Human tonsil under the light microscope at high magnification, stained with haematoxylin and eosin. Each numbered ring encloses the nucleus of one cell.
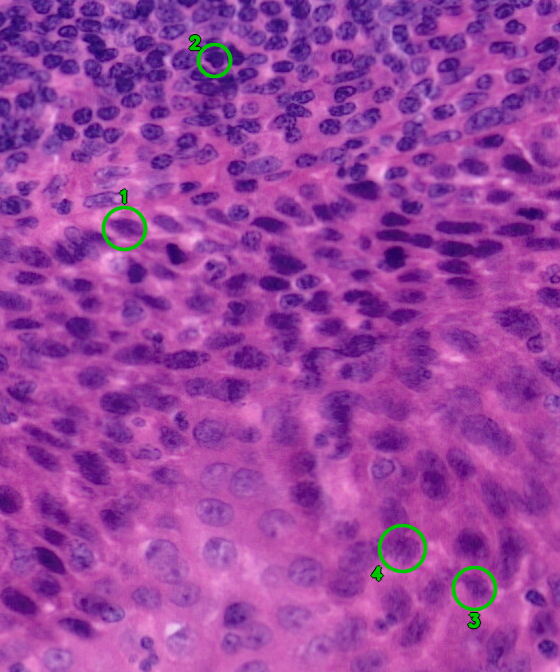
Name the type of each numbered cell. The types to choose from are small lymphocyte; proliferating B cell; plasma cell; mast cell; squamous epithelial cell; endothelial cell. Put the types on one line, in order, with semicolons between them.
squamous epithelial cell; small lymphocyte; squamous epithelial cell; squamous epithelial cell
